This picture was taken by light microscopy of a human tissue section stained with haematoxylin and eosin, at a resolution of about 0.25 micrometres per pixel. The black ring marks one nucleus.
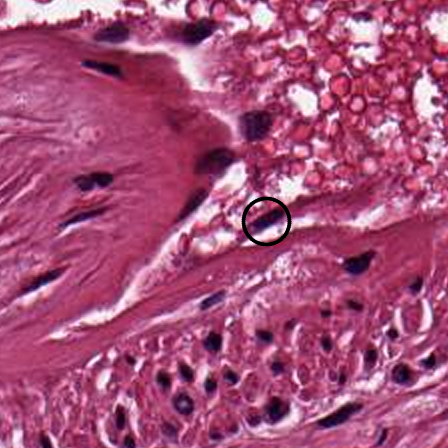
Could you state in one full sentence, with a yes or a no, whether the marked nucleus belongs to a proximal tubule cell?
No, a supporting cell is the one to which the marked nucleus belongs, not a proximal tubule cell.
